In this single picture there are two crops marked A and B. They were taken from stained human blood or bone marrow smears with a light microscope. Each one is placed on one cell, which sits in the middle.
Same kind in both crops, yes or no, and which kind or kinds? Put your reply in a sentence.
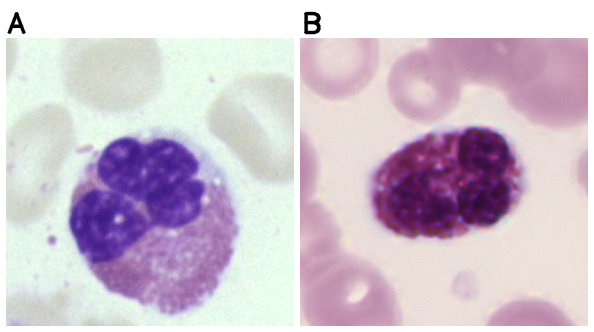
Yes, both of the crops show eosinophils.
